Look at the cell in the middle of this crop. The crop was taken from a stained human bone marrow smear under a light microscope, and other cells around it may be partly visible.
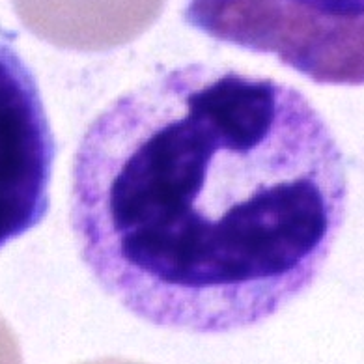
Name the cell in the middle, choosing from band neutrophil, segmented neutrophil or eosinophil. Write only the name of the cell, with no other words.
band neutrophil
